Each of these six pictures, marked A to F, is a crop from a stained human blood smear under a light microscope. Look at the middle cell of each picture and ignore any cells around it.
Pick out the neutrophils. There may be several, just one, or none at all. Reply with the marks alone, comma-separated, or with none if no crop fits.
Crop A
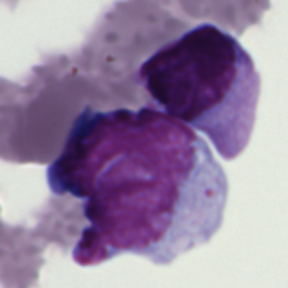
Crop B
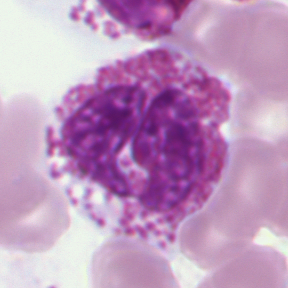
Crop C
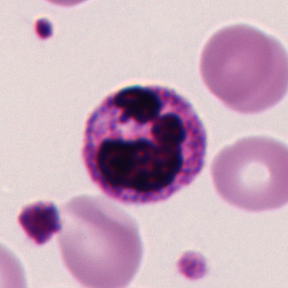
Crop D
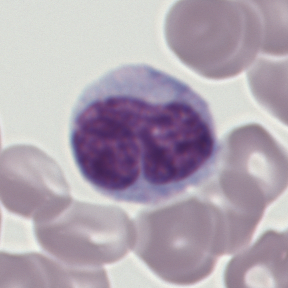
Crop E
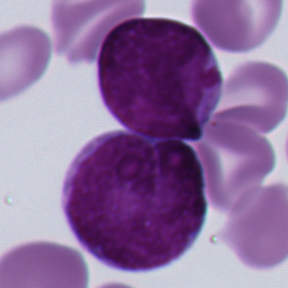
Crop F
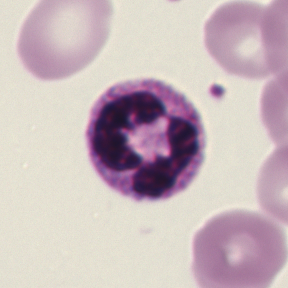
C, F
